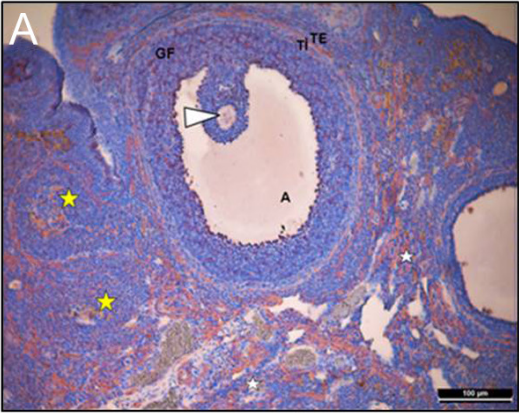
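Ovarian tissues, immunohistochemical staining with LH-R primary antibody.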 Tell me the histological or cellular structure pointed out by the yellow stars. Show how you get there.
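The yellow stars lie on rounded nests of cells outside the large cavity-bearing follicle. These nests are less orderly and lack a clear cavity with a healthy central egg.
Conclusion: atretic follicle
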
